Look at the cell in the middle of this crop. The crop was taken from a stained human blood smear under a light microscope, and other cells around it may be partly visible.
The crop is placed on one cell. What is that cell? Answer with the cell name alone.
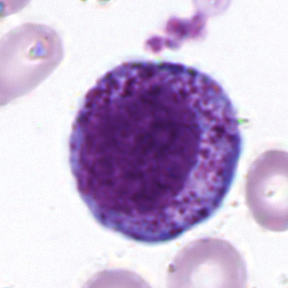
promyelocyte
